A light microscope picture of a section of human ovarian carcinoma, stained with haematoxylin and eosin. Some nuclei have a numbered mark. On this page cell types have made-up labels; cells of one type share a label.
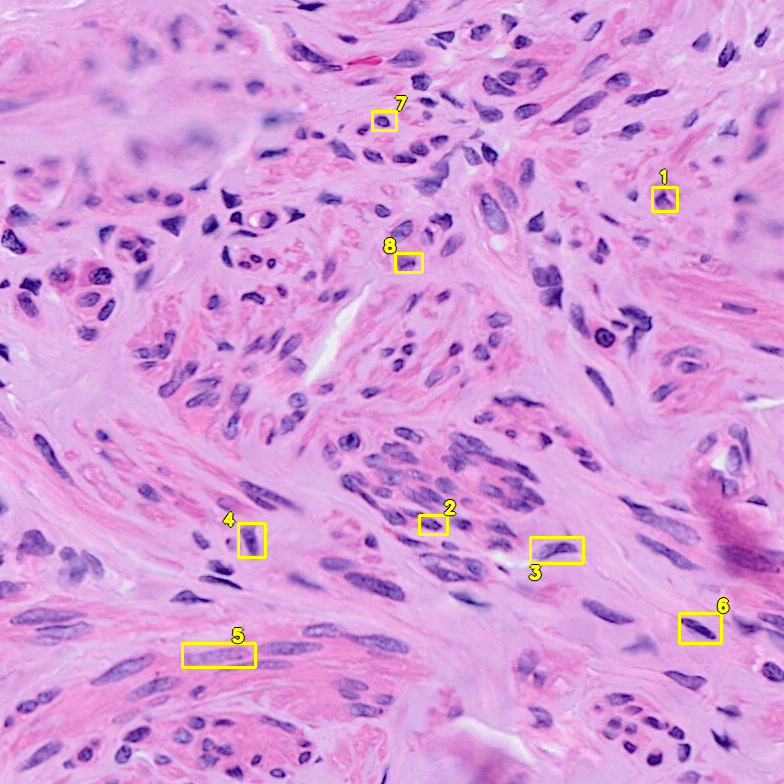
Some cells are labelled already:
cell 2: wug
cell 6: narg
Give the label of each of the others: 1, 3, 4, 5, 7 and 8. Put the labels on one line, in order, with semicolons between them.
wug; narg; narg; wug; wug; wug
